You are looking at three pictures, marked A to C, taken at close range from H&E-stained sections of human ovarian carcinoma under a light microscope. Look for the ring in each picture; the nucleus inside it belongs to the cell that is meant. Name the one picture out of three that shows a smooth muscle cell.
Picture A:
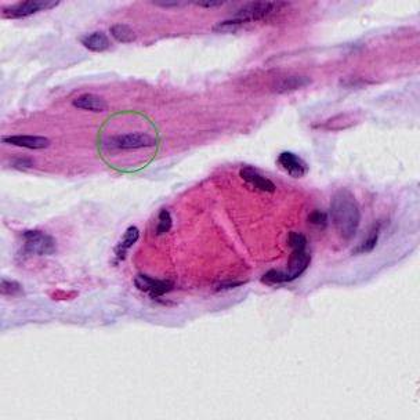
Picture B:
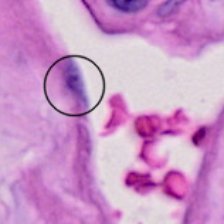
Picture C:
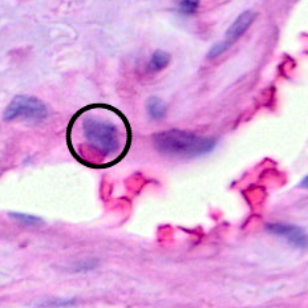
A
